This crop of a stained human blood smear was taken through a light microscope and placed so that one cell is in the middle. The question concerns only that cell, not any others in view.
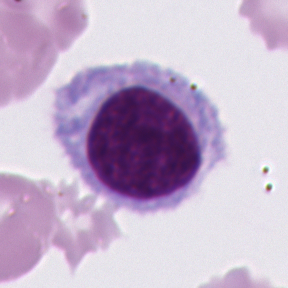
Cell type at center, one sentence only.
The centrally placed cell is classified as a hairy cell.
